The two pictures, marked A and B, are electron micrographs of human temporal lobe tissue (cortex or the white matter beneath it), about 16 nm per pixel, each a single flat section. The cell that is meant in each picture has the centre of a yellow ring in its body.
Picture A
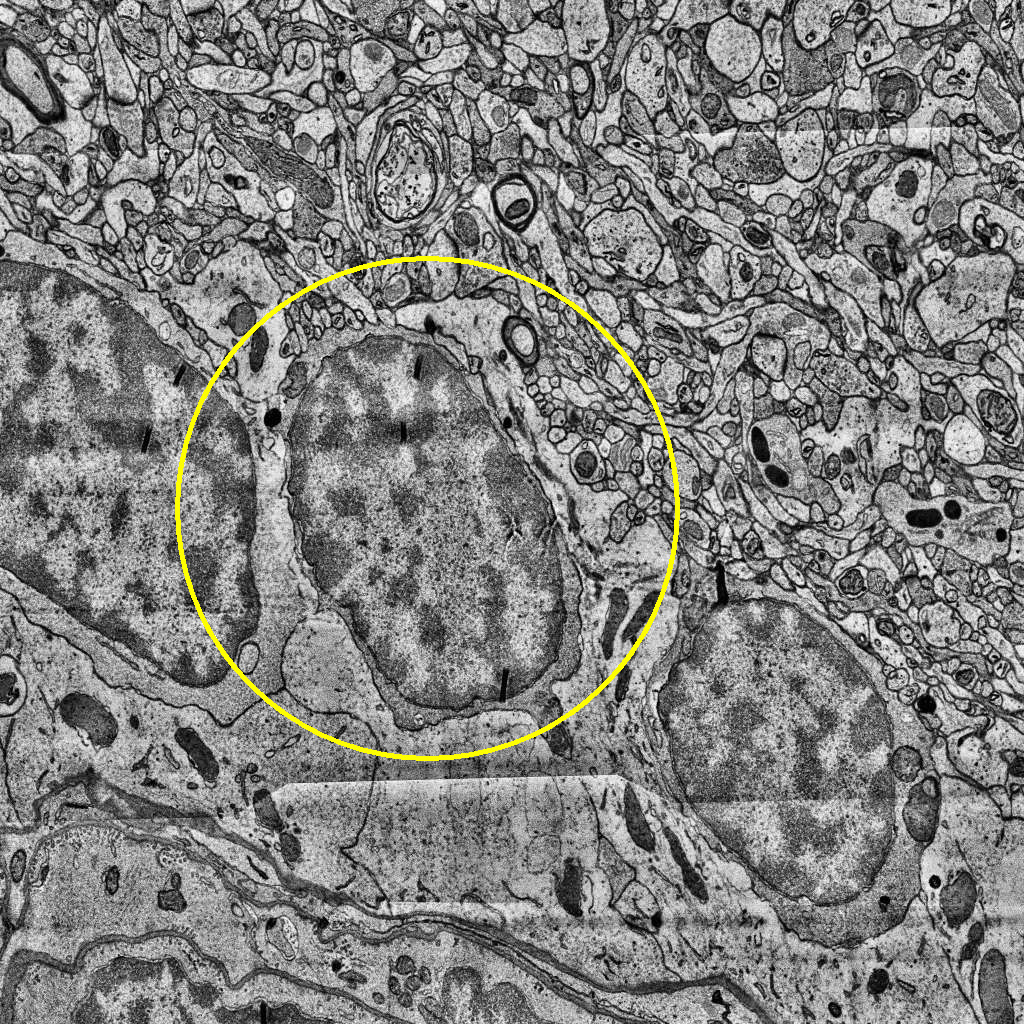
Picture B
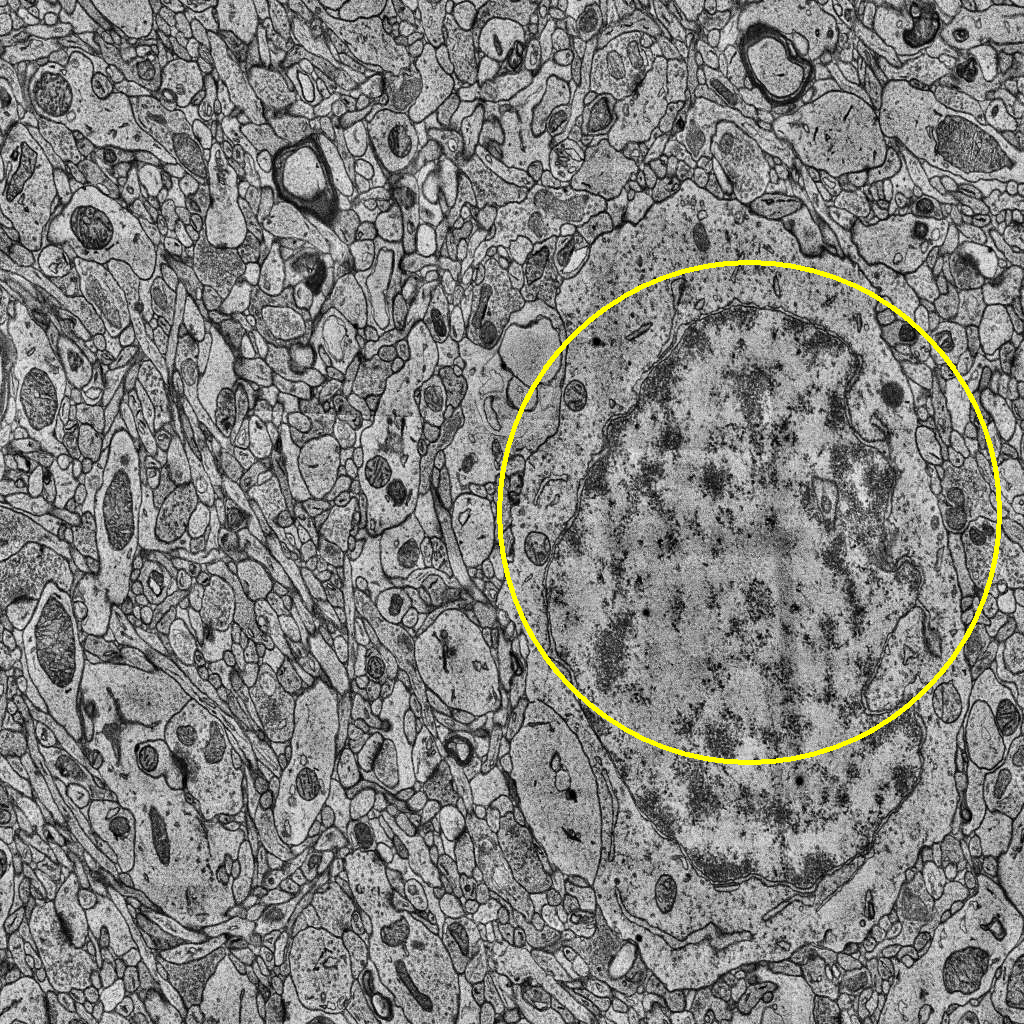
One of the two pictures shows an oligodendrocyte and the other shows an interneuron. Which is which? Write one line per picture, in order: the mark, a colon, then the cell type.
A: oligodendrocyte
B: interneuron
